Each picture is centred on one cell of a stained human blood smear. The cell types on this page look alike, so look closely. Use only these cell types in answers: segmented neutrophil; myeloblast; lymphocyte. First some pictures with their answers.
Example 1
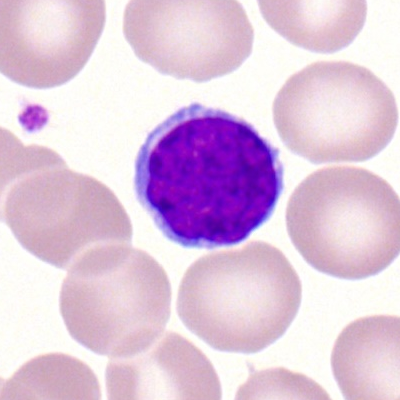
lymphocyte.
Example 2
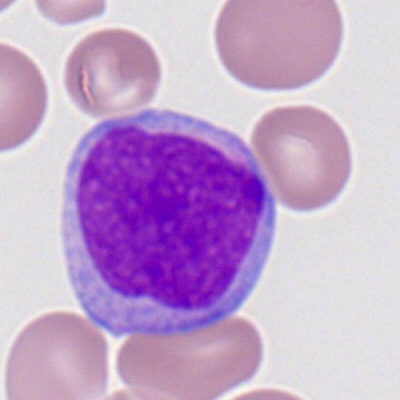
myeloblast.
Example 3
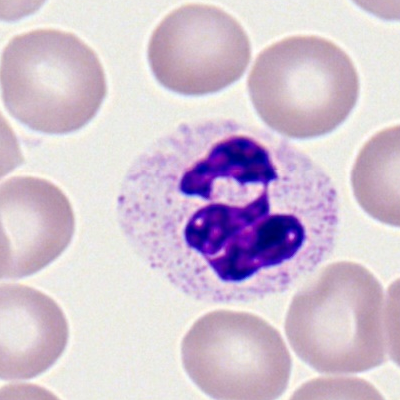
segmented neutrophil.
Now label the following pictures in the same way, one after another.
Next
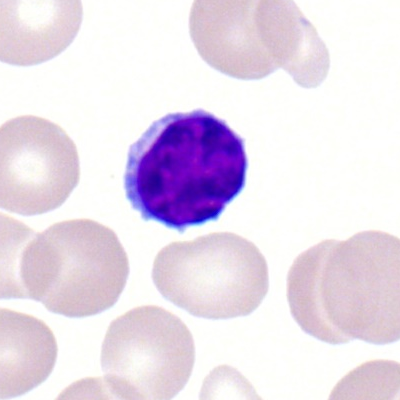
lymphocyte.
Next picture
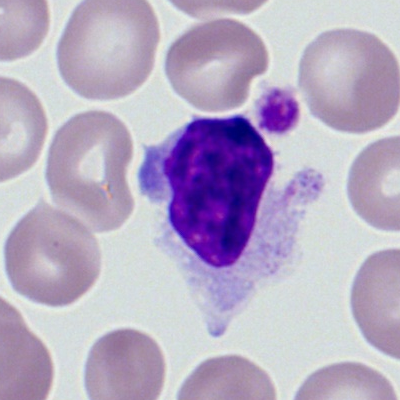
lymphocyte.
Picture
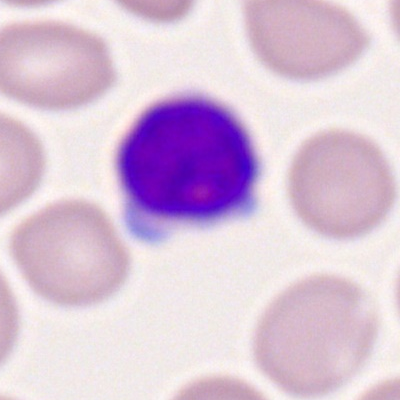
lymphocyte.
